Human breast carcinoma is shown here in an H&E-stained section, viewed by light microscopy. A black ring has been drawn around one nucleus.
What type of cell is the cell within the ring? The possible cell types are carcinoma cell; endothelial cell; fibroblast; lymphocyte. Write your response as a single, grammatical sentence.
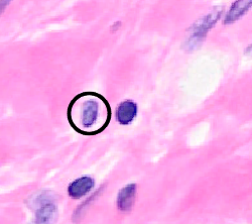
With respect to cell type, the cell within the ring is a lymphocyte.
